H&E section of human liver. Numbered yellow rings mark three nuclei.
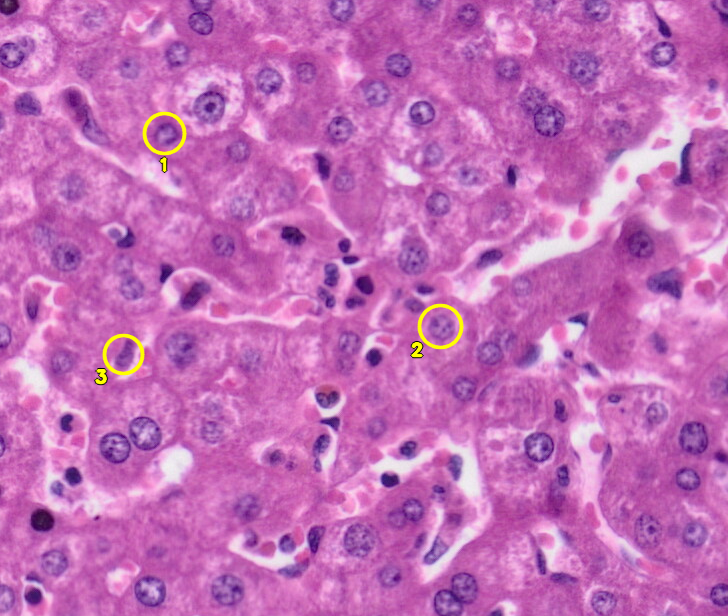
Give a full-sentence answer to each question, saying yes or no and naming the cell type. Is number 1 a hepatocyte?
Yes, the cell that number 1 points to is a hepatocyte.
